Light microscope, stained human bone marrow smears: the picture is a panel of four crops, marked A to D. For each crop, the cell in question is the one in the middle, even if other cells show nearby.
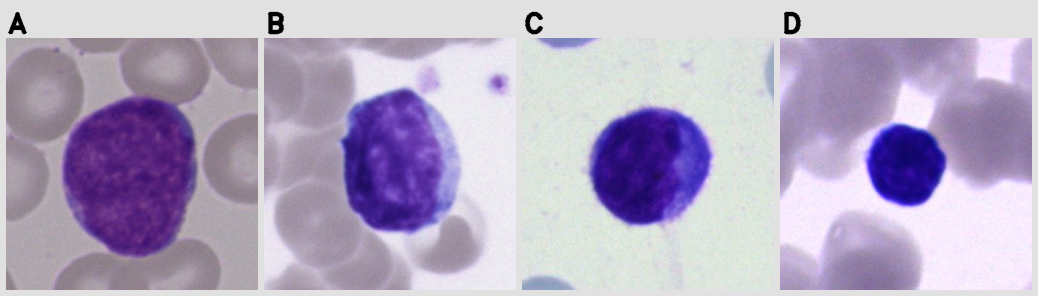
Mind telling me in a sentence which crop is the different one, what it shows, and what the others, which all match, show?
Crop A is a blast, unlike the other crops, which all show lymphocytes.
